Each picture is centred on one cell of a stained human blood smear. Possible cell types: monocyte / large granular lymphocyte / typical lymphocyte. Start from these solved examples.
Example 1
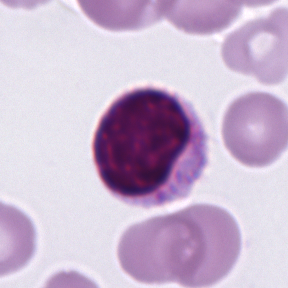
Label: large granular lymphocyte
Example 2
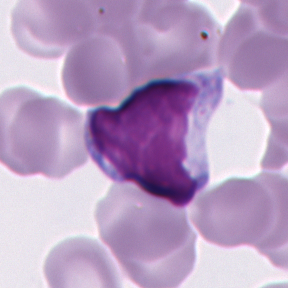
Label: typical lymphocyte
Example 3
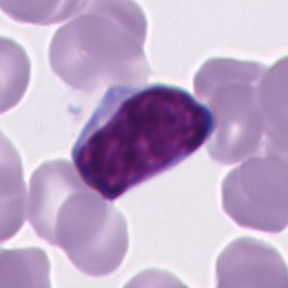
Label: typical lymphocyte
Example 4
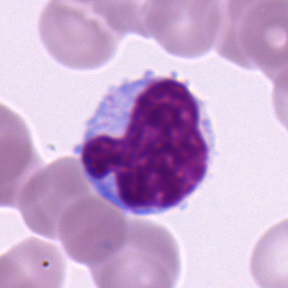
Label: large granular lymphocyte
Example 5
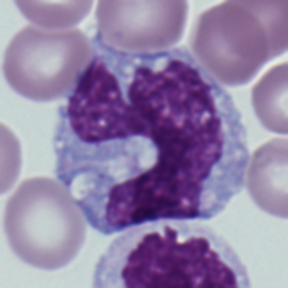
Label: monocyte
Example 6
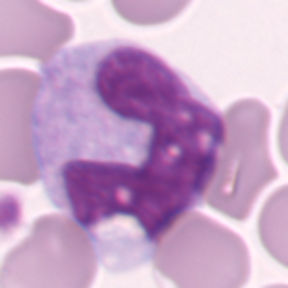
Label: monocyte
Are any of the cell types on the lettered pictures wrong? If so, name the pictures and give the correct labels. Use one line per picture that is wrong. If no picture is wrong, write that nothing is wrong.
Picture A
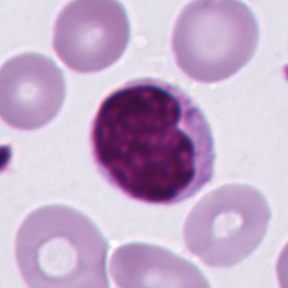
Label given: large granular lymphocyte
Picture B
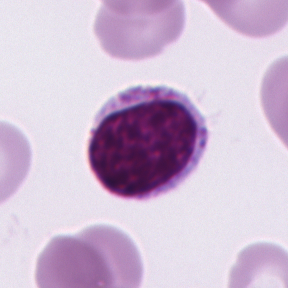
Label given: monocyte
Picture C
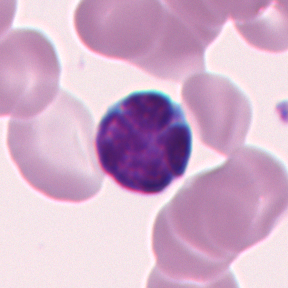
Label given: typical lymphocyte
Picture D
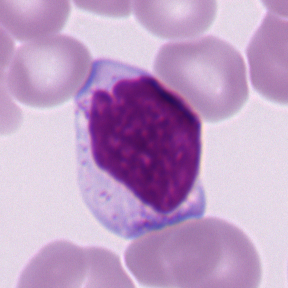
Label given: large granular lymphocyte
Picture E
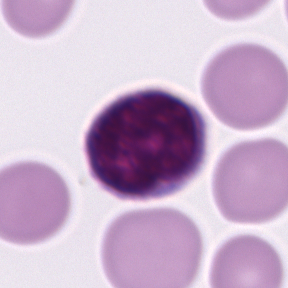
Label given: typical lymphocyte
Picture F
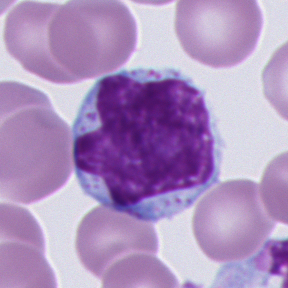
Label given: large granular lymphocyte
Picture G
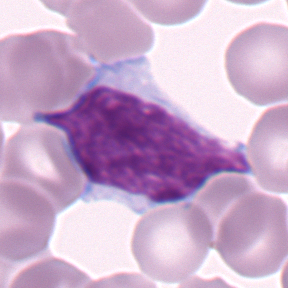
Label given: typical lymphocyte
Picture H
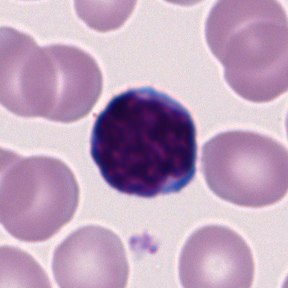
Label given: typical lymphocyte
B: large granular lymphocyte, not monocyte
